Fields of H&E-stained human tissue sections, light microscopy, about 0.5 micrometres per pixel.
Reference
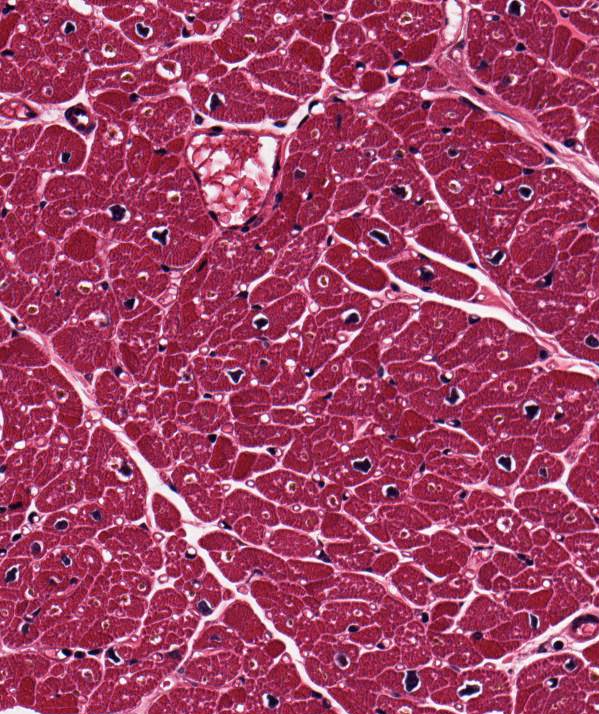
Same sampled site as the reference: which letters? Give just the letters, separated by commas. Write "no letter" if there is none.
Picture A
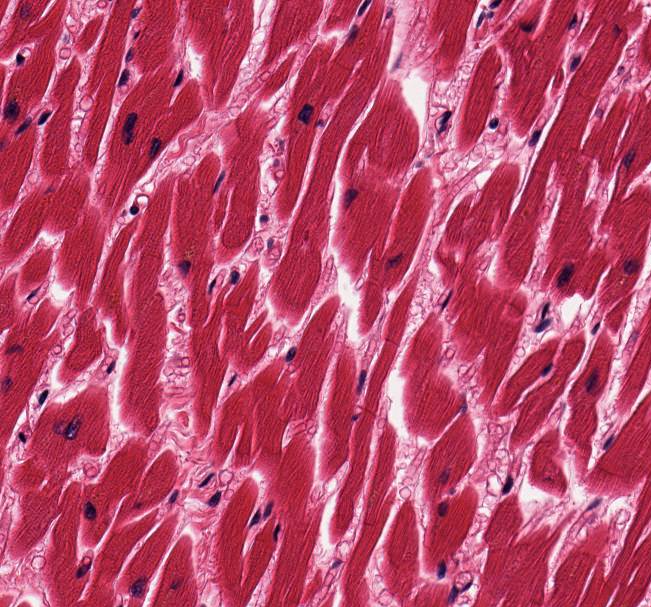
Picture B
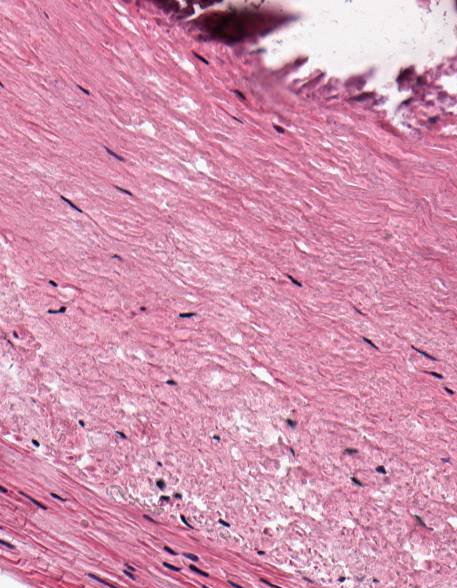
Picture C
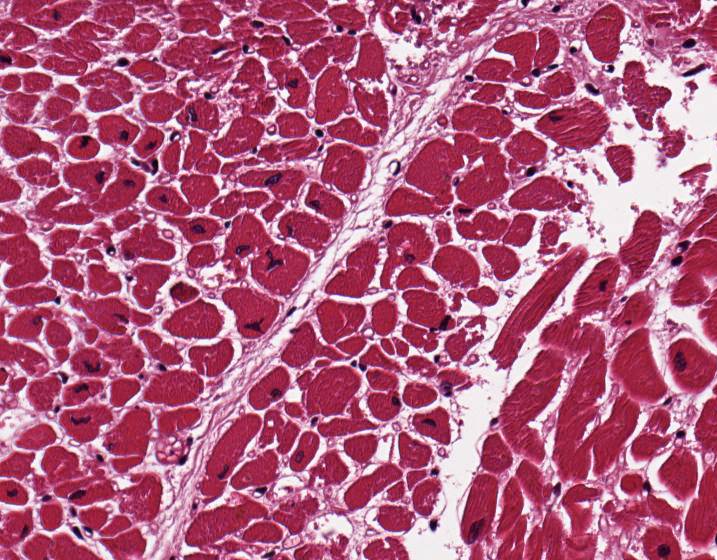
A, C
